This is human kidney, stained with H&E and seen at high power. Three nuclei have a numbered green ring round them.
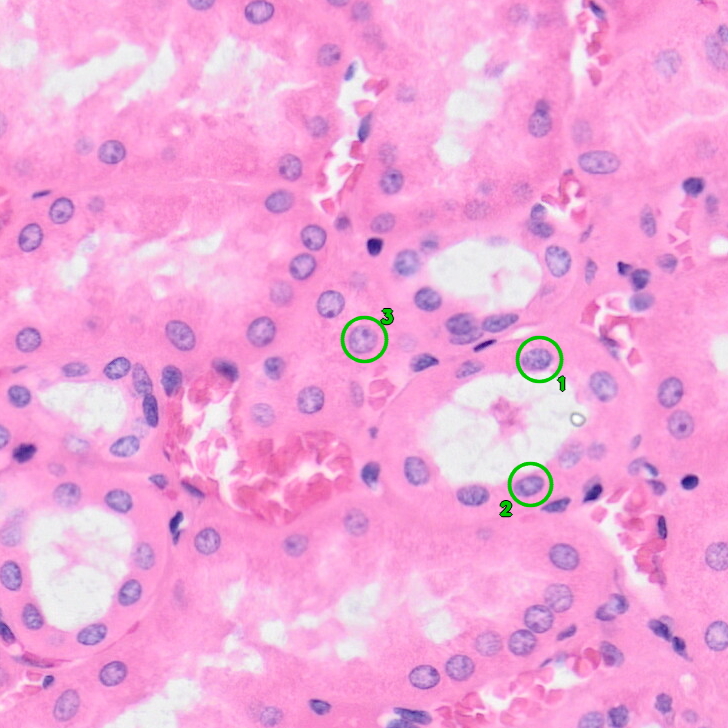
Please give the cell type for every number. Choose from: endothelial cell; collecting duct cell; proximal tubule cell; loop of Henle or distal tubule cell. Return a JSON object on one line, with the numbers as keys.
{"1": "loop of Henle or distal tubule cell", "2": "loop of Henle or distal tubule cell", "3": "proximal tubule cell"}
